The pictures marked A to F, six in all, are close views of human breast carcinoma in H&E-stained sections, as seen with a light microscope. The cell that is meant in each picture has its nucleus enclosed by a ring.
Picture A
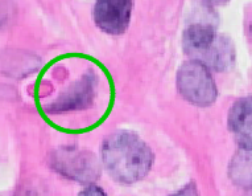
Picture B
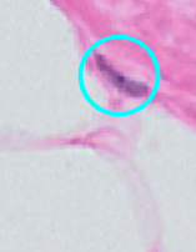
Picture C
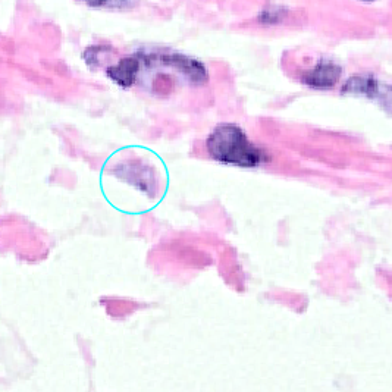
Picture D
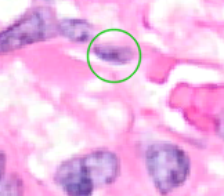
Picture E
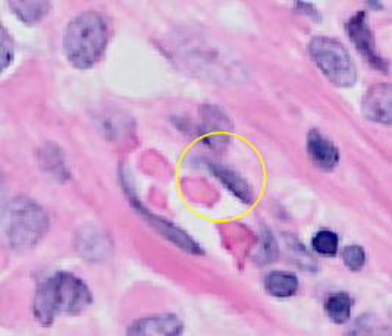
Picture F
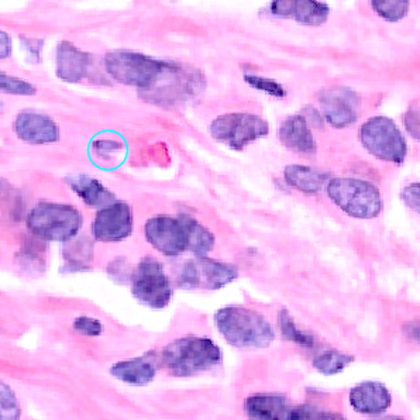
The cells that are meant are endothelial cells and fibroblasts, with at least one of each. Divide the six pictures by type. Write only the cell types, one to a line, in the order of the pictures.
endothelial cell
fibroblast
fibroblast
endothelial cell
endothelial cell
endothelial cell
